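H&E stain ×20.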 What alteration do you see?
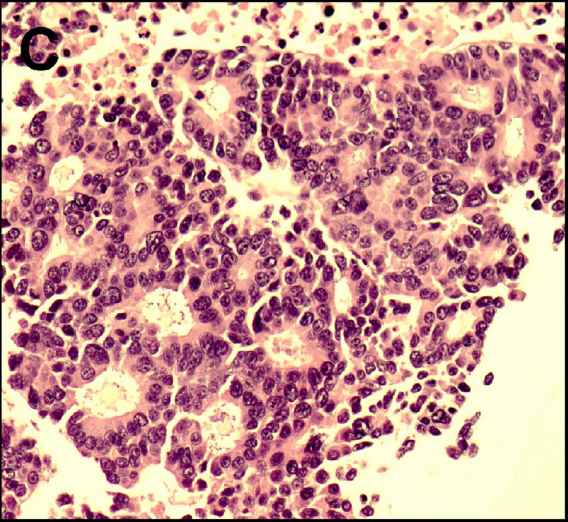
Acinar pattern.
